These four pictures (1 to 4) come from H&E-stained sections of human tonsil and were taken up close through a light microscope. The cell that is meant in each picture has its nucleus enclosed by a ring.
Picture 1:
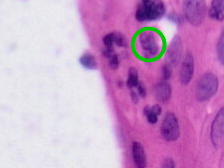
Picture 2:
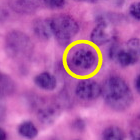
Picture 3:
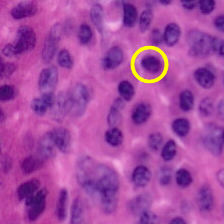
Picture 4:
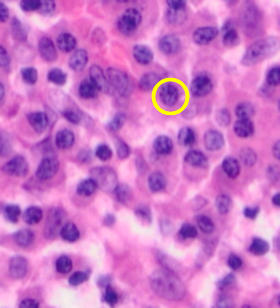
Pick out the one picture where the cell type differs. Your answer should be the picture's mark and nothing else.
1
